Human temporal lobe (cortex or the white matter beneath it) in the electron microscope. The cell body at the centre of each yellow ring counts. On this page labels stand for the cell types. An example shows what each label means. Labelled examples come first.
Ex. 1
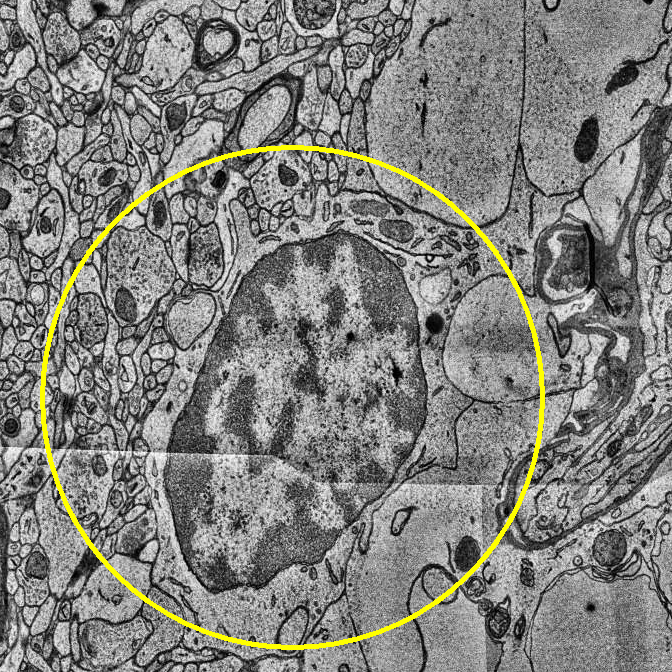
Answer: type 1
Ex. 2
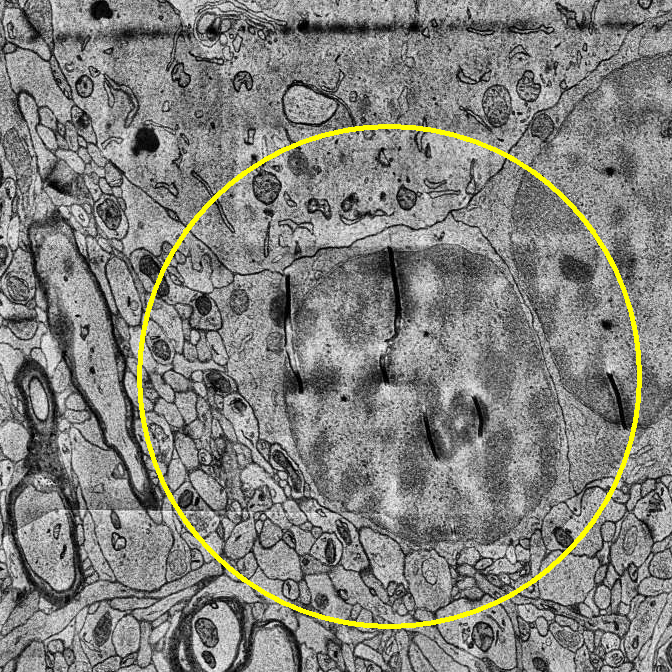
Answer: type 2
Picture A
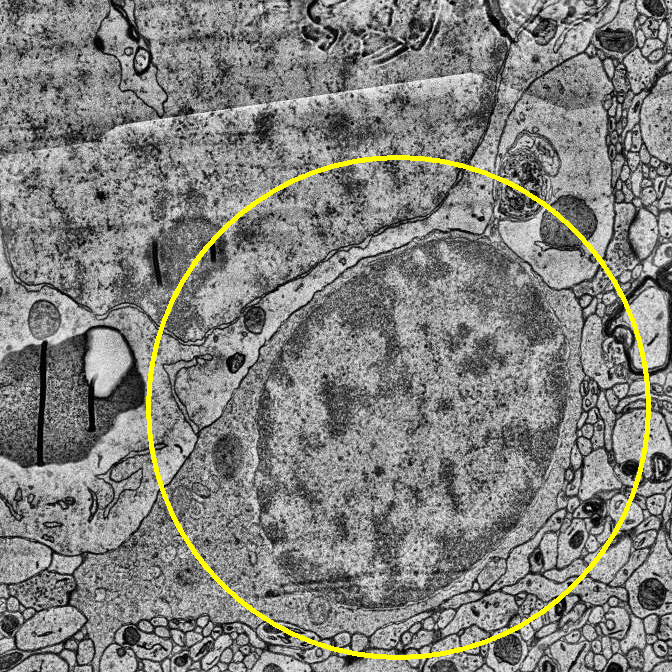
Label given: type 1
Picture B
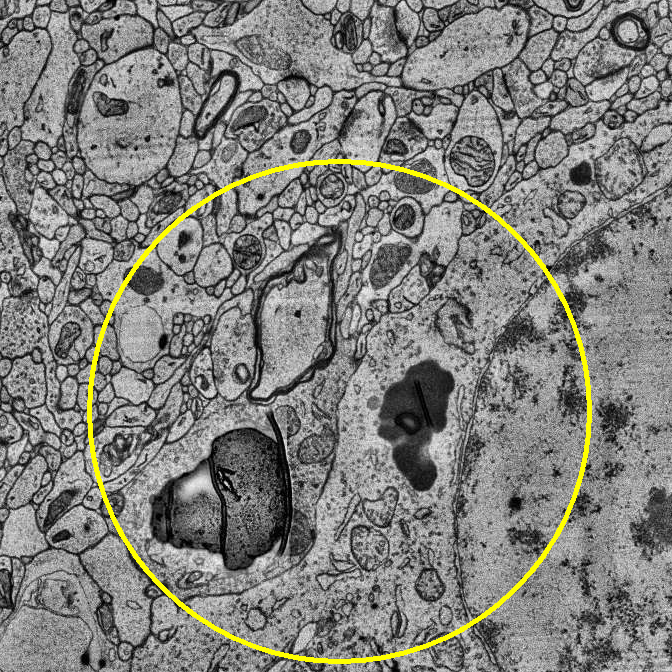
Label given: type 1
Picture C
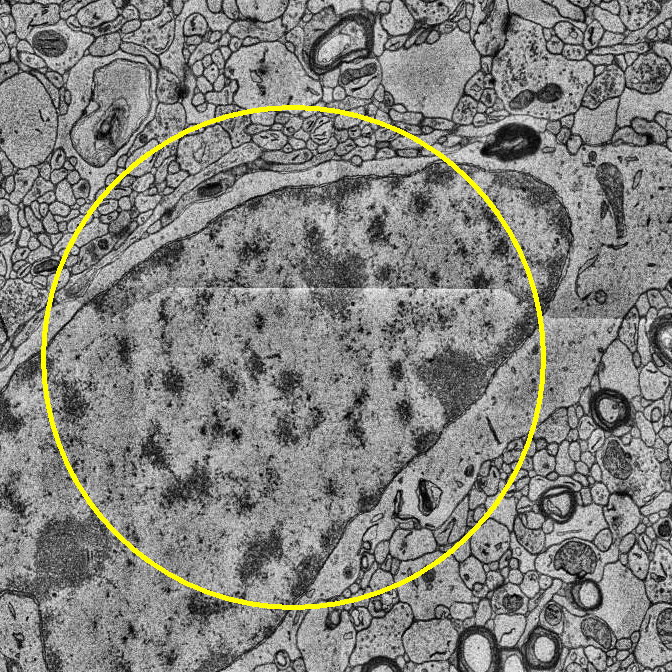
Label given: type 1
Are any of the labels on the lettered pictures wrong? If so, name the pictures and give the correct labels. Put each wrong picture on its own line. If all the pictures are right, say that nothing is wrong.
Wrong: A (type 1); correct: type 2
Wrong: B (type 1); correct: type 2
